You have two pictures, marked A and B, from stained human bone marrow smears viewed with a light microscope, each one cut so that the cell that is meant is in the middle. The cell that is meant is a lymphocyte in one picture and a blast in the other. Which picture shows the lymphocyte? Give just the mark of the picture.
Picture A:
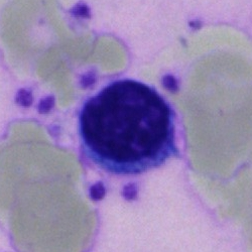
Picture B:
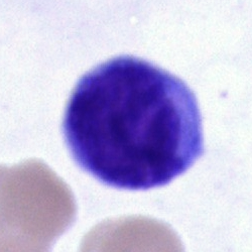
A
